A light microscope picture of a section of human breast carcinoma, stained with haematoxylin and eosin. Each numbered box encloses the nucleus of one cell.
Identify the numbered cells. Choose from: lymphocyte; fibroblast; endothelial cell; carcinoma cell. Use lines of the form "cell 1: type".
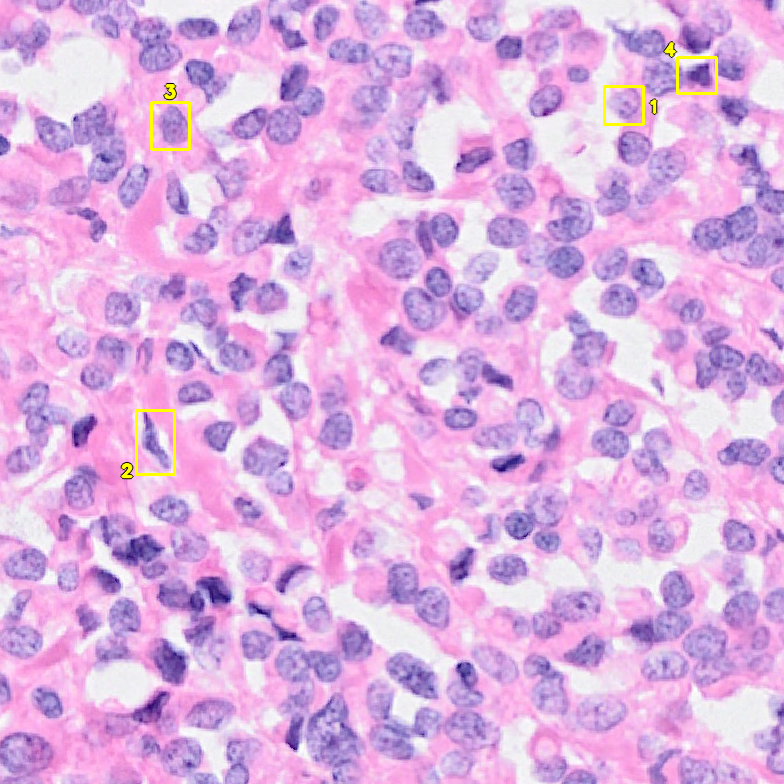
cell 1: carcinoma cell
cell 2: fibroblast
cell 3: carcinoma cell
cell 4: carcinoma cell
